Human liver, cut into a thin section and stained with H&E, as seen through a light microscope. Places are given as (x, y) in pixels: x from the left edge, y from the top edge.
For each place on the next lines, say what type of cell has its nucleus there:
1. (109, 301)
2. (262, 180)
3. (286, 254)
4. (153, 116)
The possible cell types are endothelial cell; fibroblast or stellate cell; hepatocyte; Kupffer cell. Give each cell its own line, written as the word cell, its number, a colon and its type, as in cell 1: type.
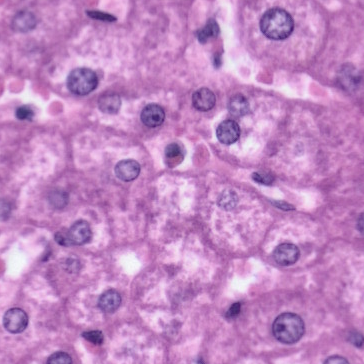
cell 1: hepatocyte
cell 2: Kupffer cell
cell 3: hepatocyte
cell 4: hepatocyte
